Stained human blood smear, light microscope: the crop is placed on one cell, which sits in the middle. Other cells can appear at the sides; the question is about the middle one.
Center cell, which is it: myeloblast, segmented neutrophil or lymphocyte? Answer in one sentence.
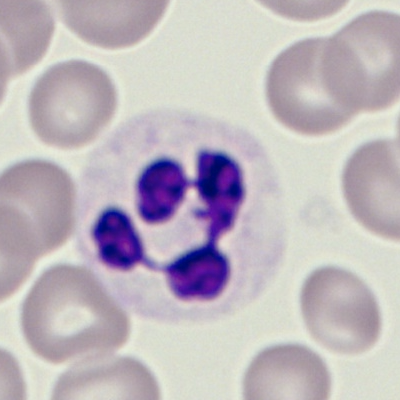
The middle of this crop holds a segmented neutrophil.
